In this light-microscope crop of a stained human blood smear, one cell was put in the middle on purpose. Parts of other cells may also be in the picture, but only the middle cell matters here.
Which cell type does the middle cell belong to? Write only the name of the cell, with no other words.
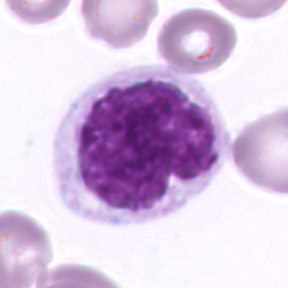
metamyelocyte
